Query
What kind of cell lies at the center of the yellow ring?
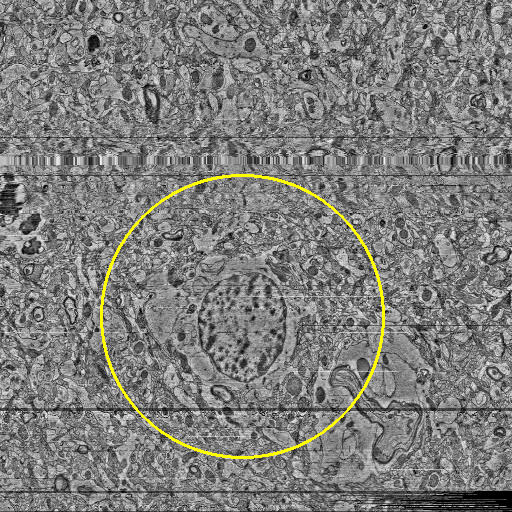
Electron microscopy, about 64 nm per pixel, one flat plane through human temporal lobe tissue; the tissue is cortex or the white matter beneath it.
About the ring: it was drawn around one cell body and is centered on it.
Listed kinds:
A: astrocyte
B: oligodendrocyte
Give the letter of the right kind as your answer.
A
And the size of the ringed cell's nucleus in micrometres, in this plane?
Approximately 7 by 6 micrometers in this plane.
